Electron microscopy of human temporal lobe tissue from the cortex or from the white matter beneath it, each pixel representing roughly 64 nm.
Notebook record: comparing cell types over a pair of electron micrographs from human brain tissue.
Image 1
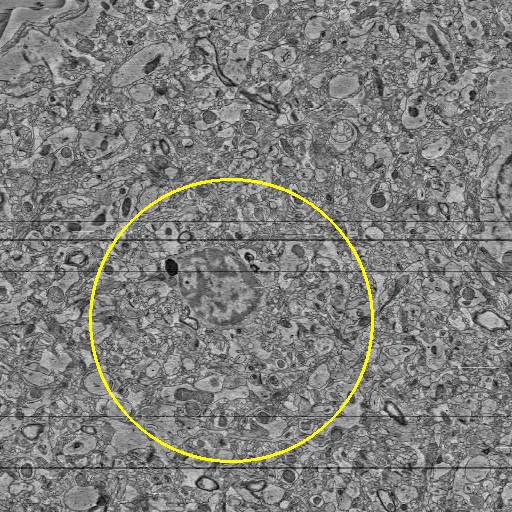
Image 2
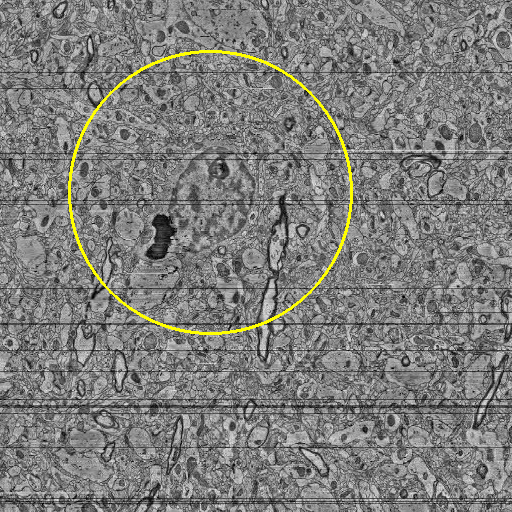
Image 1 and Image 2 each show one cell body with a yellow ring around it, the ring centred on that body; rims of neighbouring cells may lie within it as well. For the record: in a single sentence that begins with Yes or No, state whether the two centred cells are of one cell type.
Yes, one cell type is shared by the centred cells of Image 1 and Image 2.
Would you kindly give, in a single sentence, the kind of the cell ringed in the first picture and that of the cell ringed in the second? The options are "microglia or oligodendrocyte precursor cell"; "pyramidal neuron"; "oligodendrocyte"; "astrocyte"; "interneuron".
The second cell is an oligodendrocyte, just as the first is.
